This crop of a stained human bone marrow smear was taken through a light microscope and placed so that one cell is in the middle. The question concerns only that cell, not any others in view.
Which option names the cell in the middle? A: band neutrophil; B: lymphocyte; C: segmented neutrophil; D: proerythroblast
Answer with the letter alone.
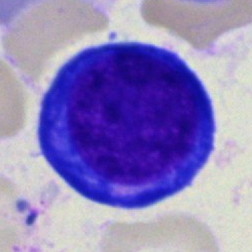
D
